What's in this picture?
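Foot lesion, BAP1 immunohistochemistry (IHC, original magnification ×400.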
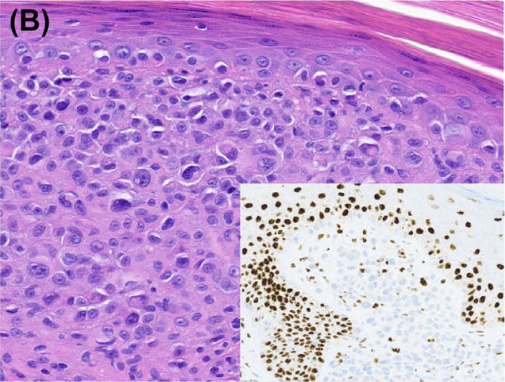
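This is skin with the epidermis and its compact pink cornified layer at the top, and below it a population of large epithelioid melanocytes. The cells are polygonal with abundant pale pink cytoplasm and fairly distinct borders. Their nuclei are round to oval but vary noticeably in size and shape, several being enlarged with visible nucleoli. In the inset, brown nuclear staining is seen in a band of cells, while many of the large cells in the lower part have only blue nuclei without brown.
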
